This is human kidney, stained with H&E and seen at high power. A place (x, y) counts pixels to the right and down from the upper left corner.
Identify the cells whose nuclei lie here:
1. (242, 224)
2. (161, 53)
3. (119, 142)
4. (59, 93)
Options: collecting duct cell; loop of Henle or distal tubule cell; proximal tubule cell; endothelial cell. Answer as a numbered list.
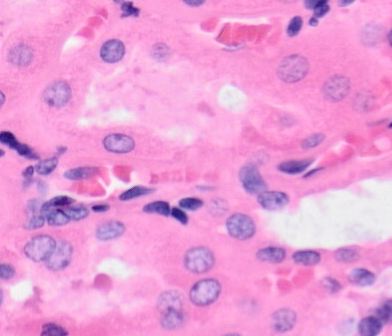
1. loop of Henle or distal tubule cell
2. proximal tubule cell
3. proximal tubule cell
4. proximal tubule cell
